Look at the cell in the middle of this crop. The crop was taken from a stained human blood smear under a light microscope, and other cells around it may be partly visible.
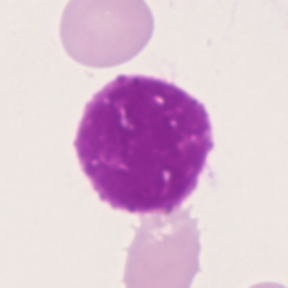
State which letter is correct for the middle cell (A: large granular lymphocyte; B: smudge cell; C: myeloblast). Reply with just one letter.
B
